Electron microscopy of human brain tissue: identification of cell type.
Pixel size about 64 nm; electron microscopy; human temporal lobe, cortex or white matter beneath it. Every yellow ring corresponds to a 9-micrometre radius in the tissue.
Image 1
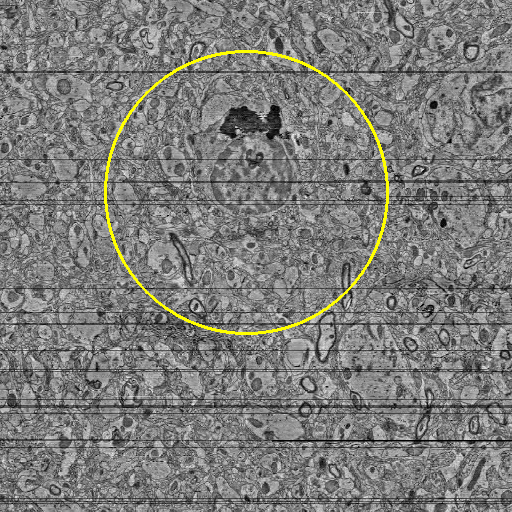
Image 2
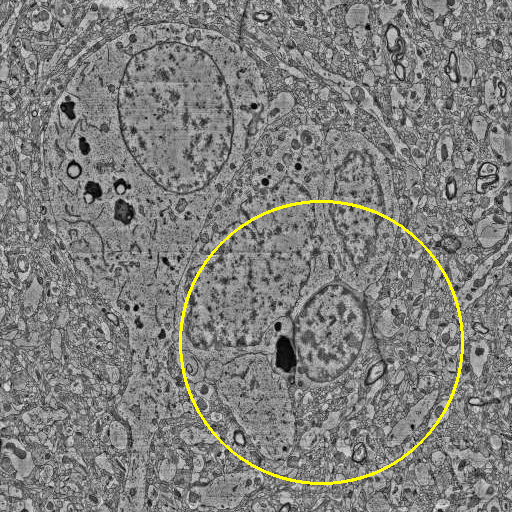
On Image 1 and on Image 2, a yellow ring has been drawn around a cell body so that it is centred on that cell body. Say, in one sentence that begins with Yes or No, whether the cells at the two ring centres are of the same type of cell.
Yes, both cells are the same type of cell.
